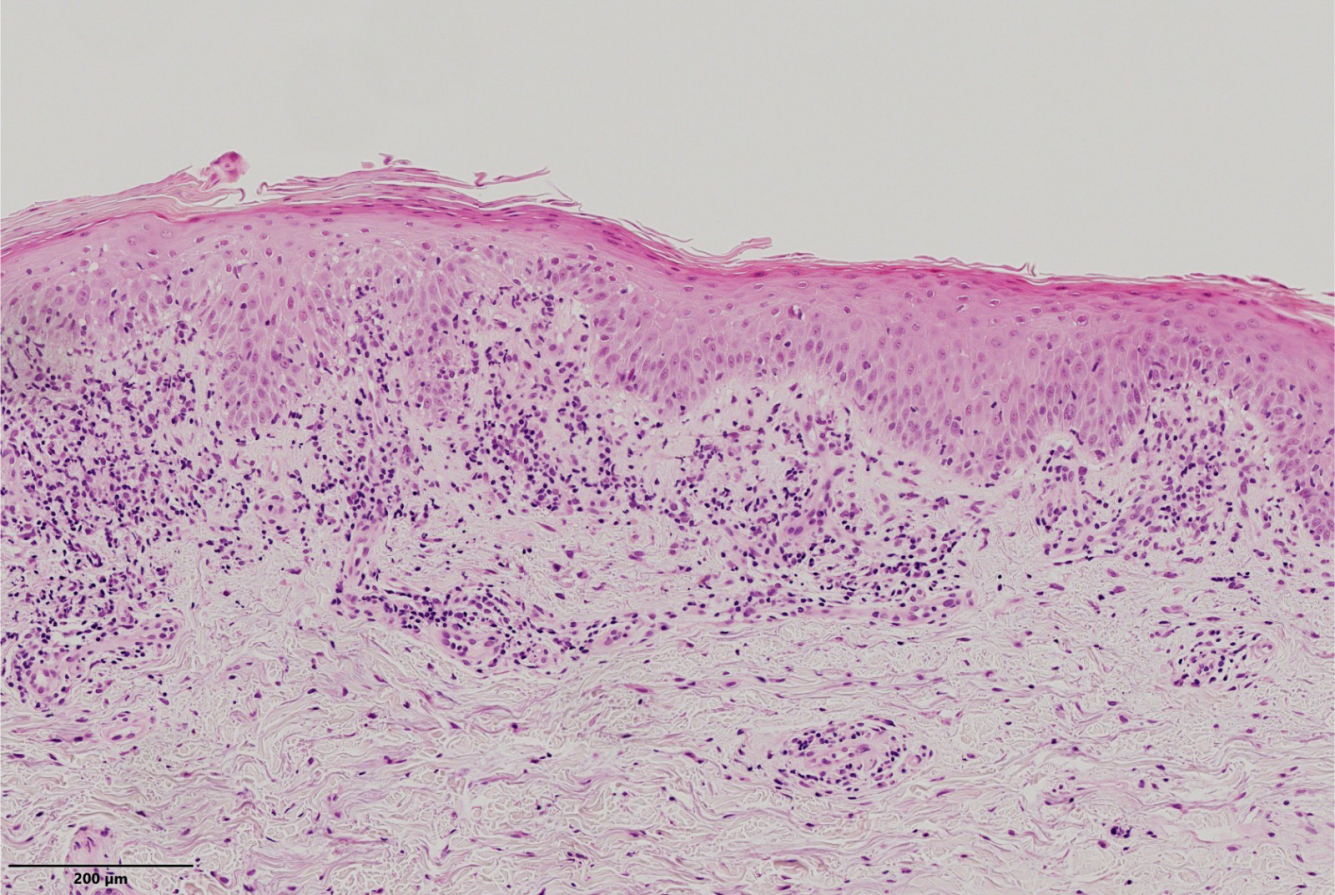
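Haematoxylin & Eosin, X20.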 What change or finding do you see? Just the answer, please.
Lymphocytic band‐like infiltrates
